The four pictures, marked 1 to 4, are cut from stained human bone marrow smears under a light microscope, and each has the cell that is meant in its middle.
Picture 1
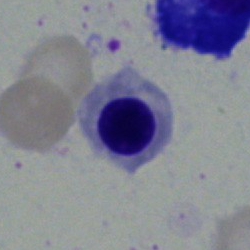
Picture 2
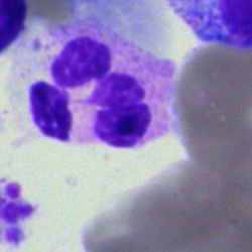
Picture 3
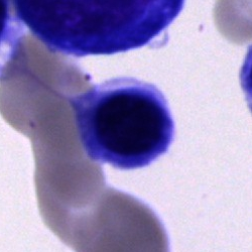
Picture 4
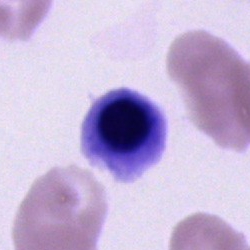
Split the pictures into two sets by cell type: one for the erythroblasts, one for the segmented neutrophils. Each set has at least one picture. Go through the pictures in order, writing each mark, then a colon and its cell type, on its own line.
1: erythroblast
2: segmented neutrophil
3: erythroblast
4: erythroblast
